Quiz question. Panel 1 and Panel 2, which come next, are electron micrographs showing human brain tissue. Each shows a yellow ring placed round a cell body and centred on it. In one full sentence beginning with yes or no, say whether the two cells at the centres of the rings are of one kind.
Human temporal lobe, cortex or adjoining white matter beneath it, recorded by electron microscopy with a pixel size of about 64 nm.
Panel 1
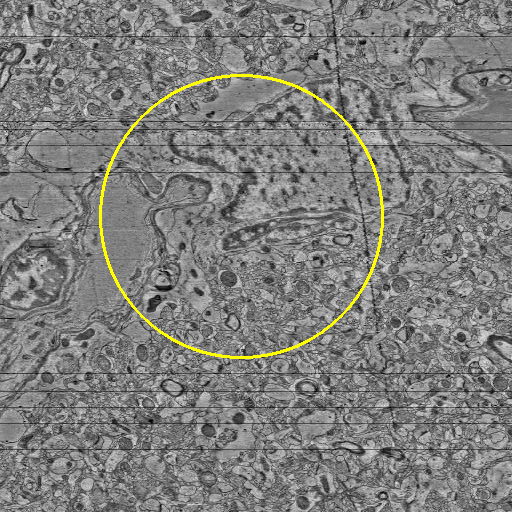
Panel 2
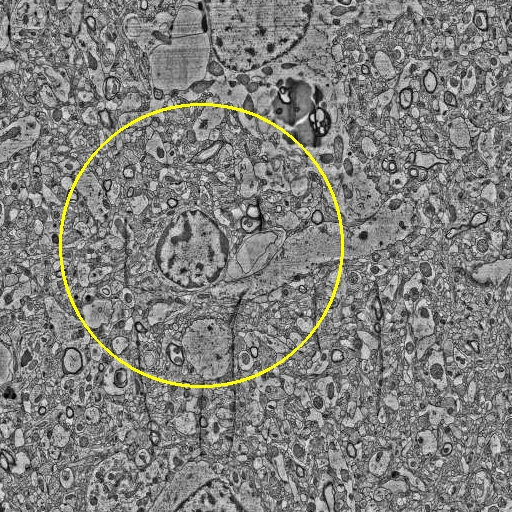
Yes, Panel 1 and Panel 2 show one kind of cell at the centre of the ring.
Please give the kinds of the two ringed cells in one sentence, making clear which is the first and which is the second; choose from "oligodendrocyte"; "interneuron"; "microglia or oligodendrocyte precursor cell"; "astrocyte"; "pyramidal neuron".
Both the first and the second picture show a microglial cell or oligodendrocyte precursor cell in the ring.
